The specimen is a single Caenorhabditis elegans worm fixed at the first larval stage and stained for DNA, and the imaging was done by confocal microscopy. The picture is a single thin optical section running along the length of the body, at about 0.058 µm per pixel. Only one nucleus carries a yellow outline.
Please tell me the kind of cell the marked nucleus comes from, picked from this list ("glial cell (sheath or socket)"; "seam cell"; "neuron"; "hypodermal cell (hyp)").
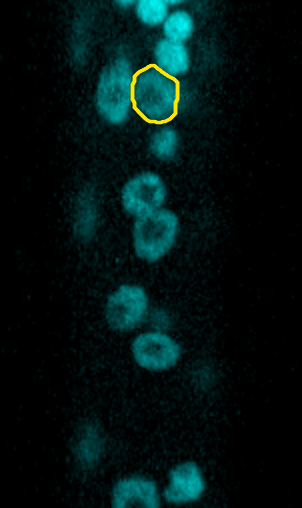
seam cell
